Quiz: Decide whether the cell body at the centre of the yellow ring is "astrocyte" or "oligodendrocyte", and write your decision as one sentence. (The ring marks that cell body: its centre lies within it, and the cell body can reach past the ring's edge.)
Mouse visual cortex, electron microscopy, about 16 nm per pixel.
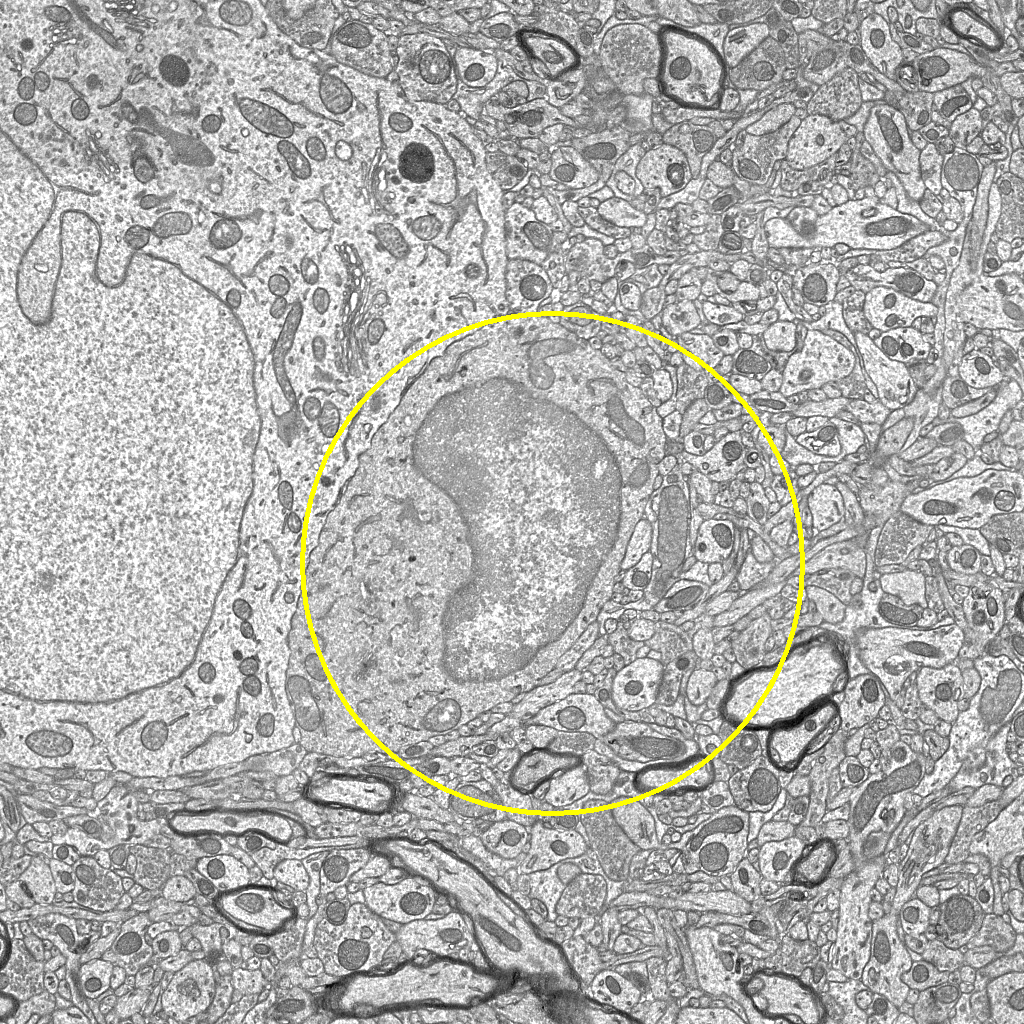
The cell holding the ring's centre is an oligodendrocyte.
